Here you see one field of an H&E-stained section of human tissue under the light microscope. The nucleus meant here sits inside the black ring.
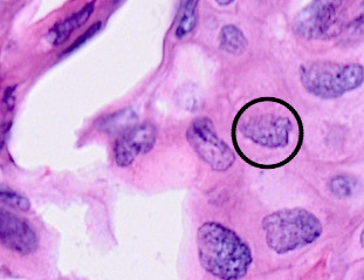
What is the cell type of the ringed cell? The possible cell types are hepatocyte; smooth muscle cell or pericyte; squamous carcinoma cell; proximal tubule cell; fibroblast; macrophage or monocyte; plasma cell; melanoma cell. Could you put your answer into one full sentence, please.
As for its identity, the ringed cell is a squamous carcinoma cell.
